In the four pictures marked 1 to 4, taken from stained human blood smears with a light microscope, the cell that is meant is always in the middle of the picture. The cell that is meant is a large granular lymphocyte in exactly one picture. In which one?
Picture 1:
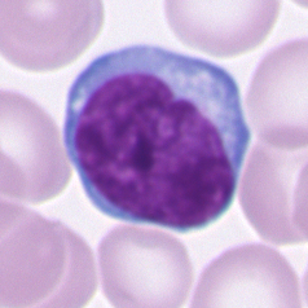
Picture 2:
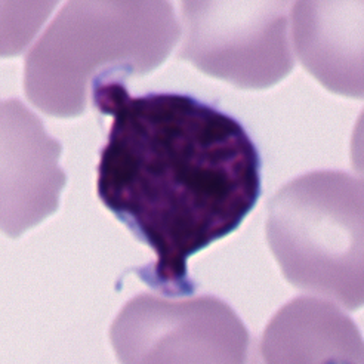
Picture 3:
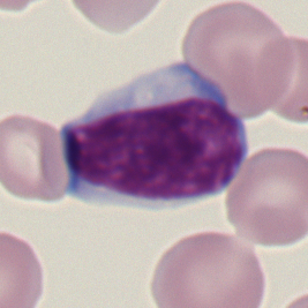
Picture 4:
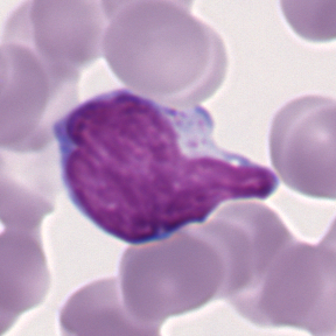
4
